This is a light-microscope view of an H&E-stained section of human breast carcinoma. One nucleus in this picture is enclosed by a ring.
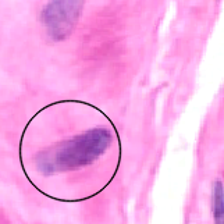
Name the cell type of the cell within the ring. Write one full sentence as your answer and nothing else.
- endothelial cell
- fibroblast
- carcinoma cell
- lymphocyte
What the cell within the ring represents is a fibroblast.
